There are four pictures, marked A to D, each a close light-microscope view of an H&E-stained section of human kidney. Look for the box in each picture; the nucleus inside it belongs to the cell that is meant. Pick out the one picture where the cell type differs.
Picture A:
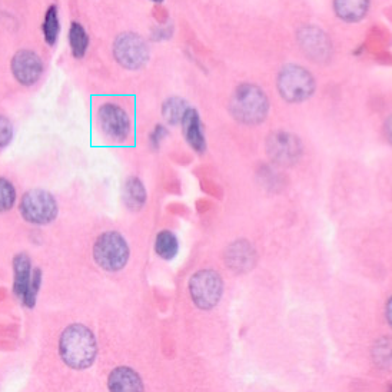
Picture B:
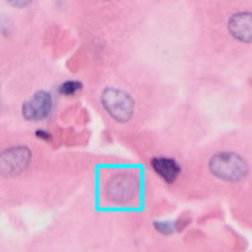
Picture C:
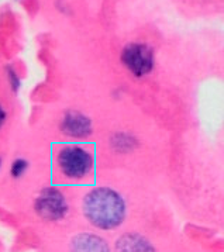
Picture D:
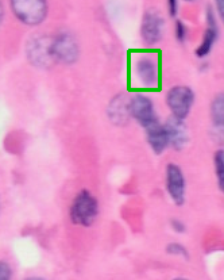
B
